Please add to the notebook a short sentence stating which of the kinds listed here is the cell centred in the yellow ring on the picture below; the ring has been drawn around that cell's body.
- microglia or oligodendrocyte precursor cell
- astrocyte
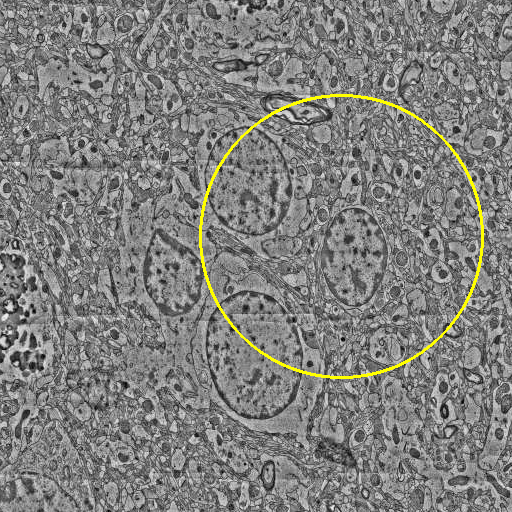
The cell centred in the yellow ring is a microglial cell or oligodendrocyte precursor cell.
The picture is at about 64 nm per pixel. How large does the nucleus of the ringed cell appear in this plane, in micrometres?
About 6 by 4 micrometers in this plane, so the nucleus is clearly longer than it is wide.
